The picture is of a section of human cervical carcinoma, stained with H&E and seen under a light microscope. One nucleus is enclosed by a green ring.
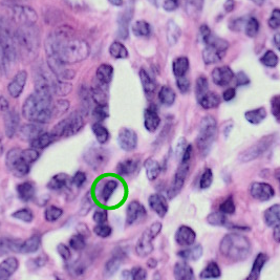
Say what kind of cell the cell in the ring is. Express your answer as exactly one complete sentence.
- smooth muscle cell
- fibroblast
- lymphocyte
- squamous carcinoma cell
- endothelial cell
In terms of identity, the cell in the ring is a lymphocyte.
